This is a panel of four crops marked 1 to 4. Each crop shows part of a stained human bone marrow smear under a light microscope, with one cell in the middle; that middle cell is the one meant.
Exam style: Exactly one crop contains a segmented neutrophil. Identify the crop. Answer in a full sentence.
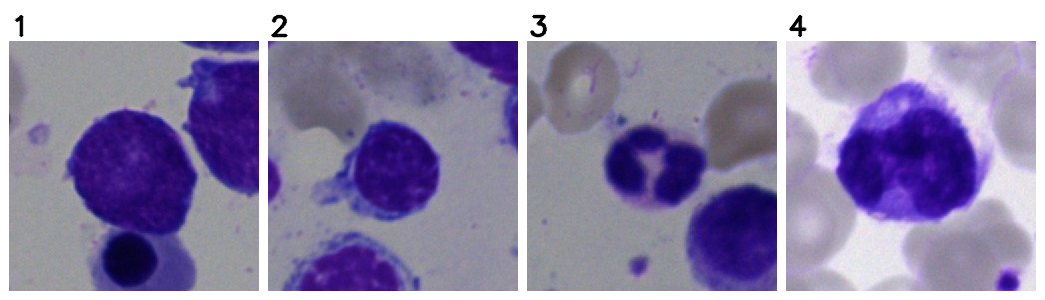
In this set, crop 3 is the one showing a segmented neutrophil.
